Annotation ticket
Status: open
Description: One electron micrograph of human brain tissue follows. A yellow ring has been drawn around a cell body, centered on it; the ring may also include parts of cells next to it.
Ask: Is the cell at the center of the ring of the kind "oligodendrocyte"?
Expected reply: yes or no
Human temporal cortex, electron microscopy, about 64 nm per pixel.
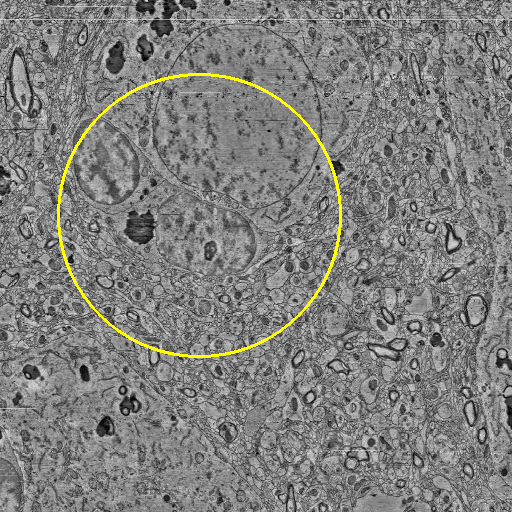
yes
